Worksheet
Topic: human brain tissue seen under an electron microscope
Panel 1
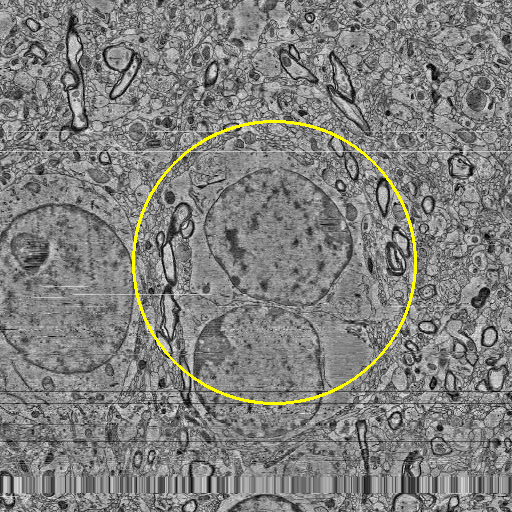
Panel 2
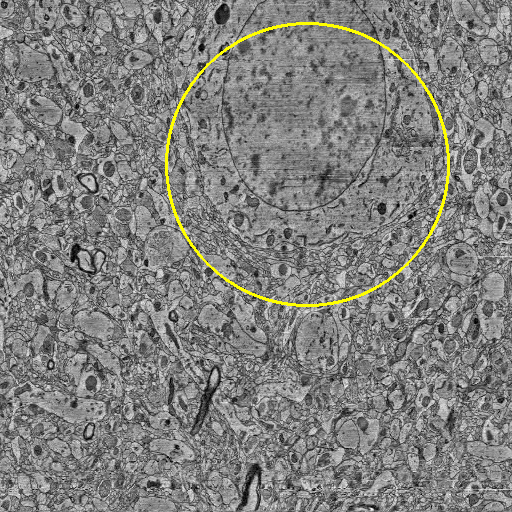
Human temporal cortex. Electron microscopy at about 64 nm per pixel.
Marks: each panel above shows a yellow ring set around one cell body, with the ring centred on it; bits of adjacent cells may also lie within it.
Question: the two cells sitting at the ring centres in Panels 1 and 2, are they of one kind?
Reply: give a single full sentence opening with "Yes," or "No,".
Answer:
No, the two ring-centre cells in Panel 1 and Panel 2 are of two kinds.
